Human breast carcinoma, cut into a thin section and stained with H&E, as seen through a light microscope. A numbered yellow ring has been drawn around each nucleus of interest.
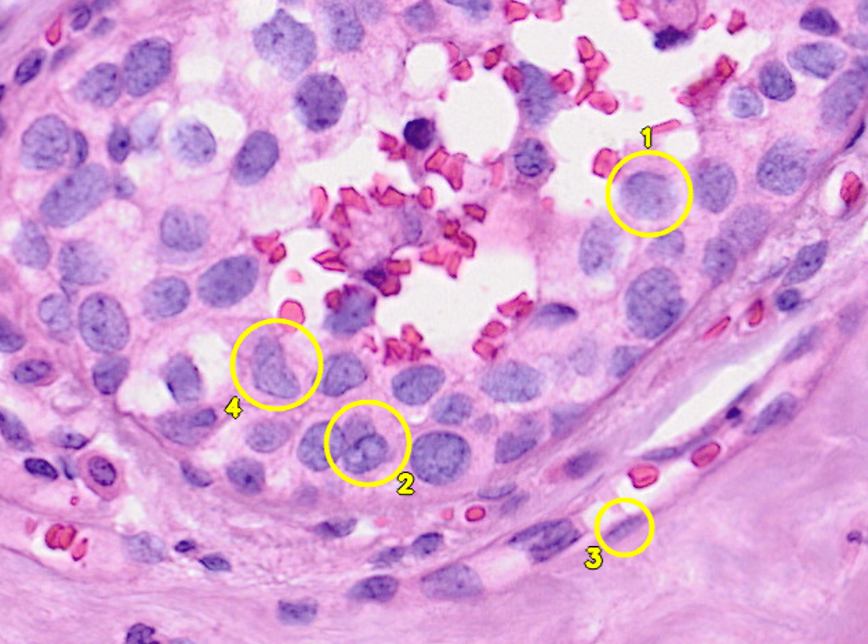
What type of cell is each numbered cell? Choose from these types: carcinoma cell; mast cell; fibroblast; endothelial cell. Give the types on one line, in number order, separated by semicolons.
carcinoma cell; carcinoma cell; endothelial cell; carcinoma cell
